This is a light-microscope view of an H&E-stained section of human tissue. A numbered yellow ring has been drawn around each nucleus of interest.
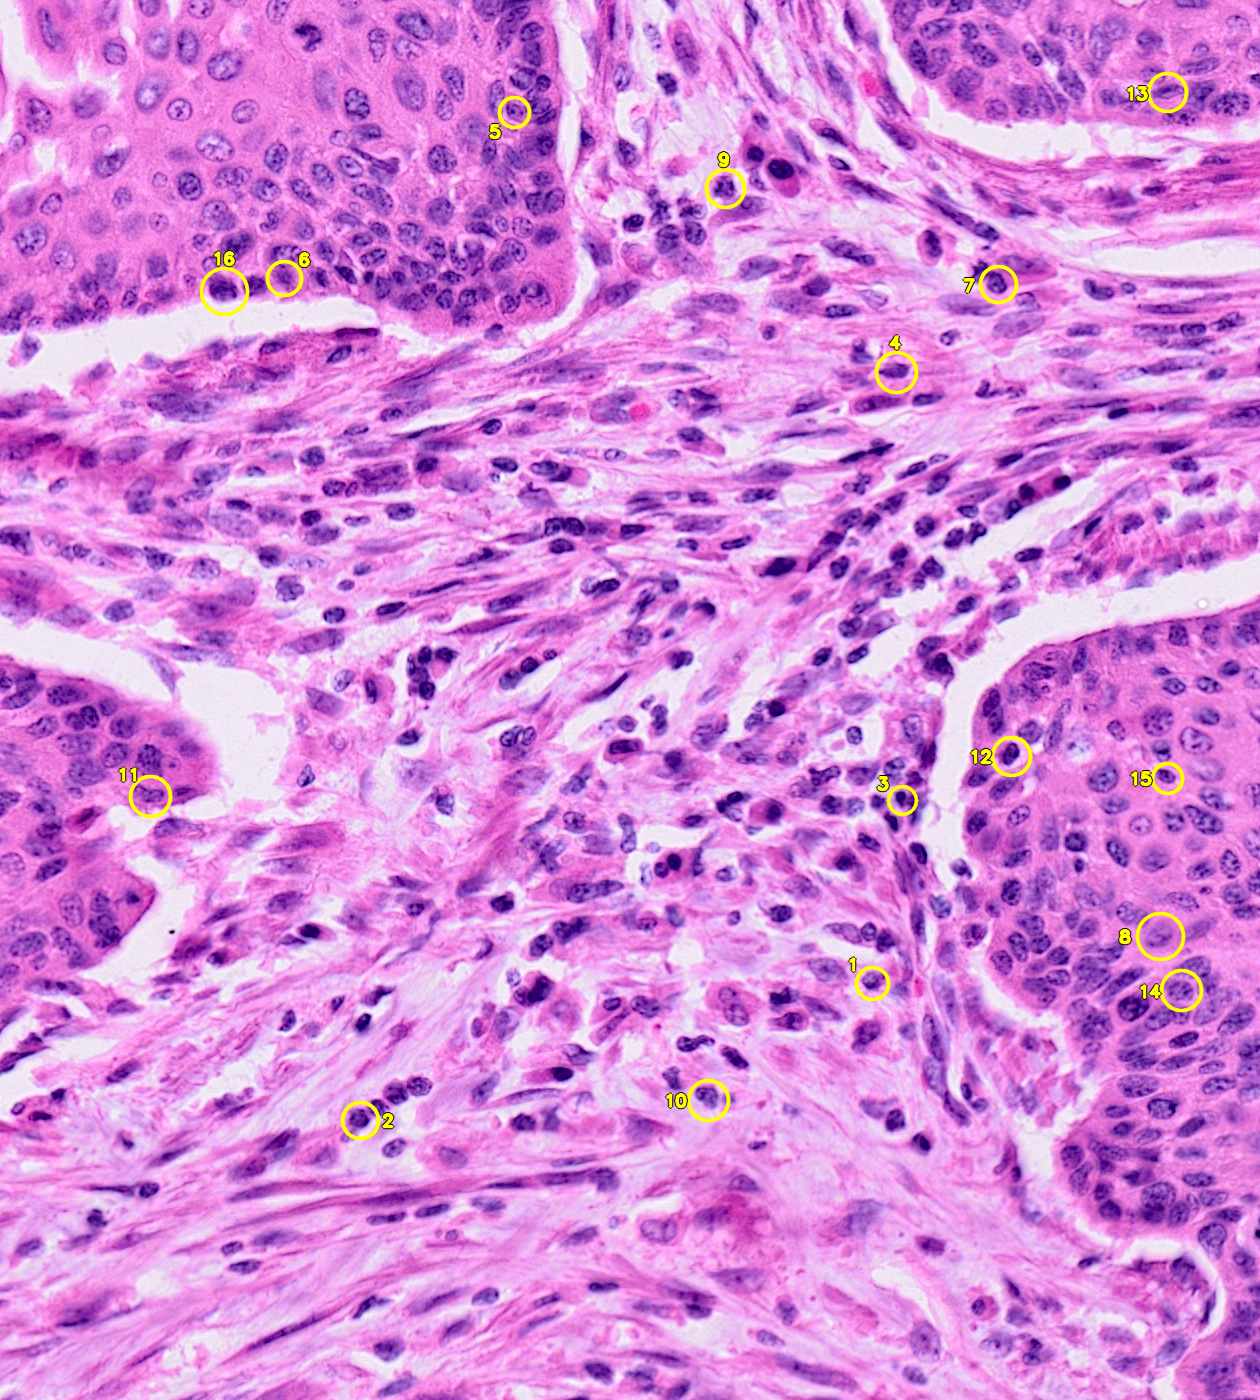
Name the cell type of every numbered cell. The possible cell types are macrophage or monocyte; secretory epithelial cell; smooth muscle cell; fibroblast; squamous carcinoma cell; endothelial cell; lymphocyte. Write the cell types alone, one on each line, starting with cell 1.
lymphocyte
lymphocyte
lymphocyte
lymphocyte
squamous carcinoma cell
squamous carcinoma cell
lymphocyte
squamous carcinoma cell
lymphocyte
lymphocyte
squamous carcinoma cell
lymphocyte
squamous carcinoma cell
squamous carcinoma cell
squamous carcinoma cell
squamous carcinoma cell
